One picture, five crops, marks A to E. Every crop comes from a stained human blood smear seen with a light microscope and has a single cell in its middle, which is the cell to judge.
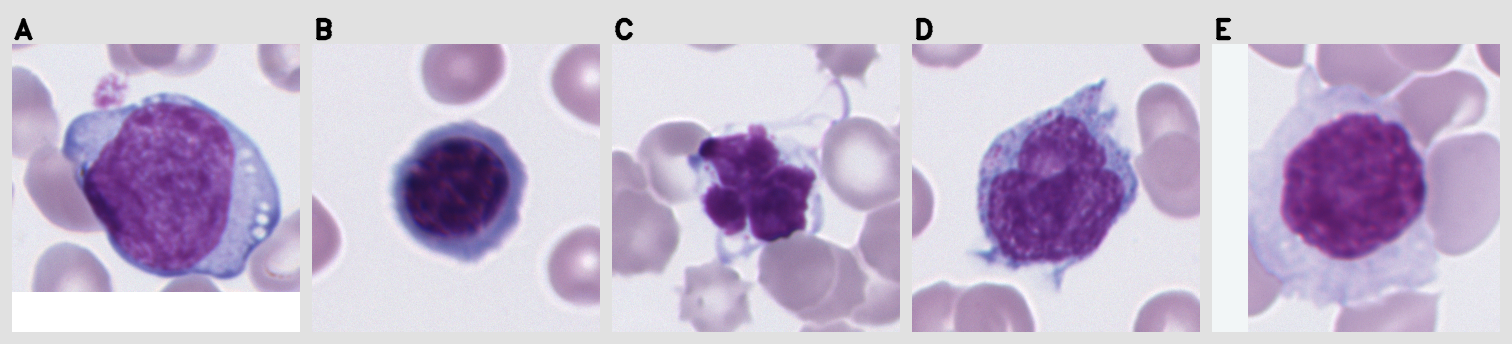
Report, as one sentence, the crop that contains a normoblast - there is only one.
Only in crop B is a normoblast shown.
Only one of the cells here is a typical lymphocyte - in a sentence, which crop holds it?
Crop C is the one depicting a typical lymphocyte.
